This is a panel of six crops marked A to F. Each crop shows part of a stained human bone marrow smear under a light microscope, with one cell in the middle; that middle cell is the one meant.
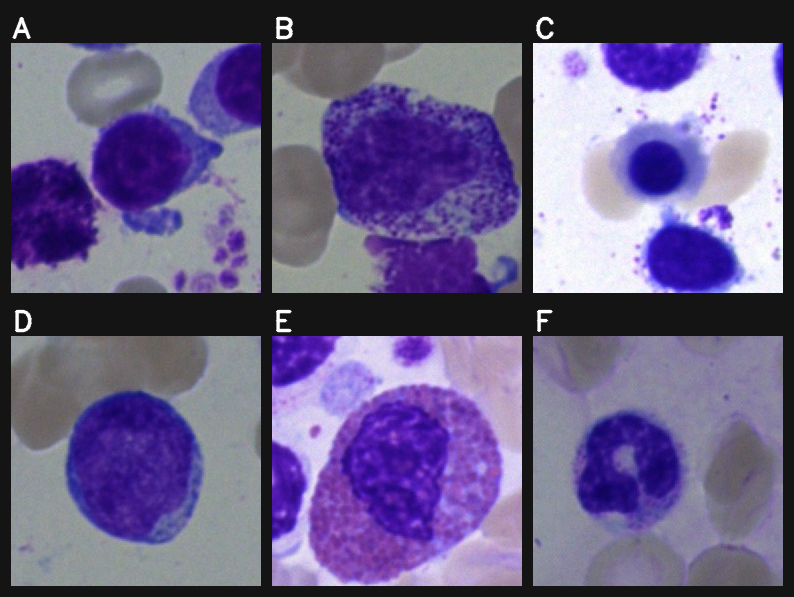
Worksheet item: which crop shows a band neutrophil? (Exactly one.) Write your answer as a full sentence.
Of the crops given, a band neutrophil is found in crop F.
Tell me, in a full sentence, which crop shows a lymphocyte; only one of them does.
In this series, a lymphocyte is shown by crop A.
